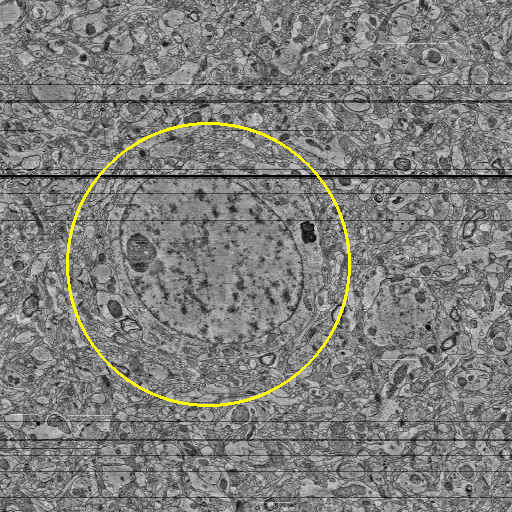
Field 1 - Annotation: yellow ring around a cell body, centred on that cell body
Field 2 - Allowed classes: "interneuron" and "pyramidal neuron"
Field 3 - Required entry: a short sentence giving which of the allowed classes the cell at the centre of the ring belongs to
The centred cell is a pyramidal neuron.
